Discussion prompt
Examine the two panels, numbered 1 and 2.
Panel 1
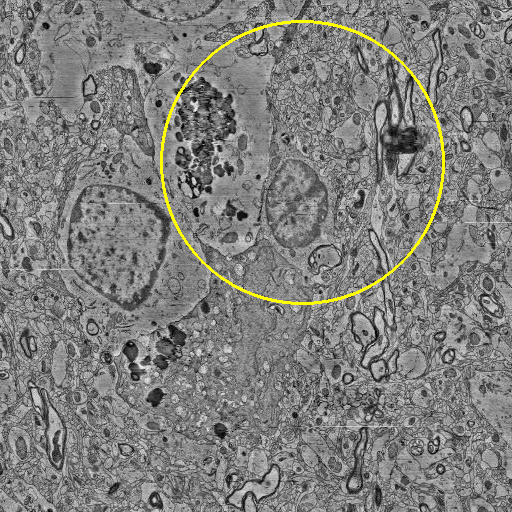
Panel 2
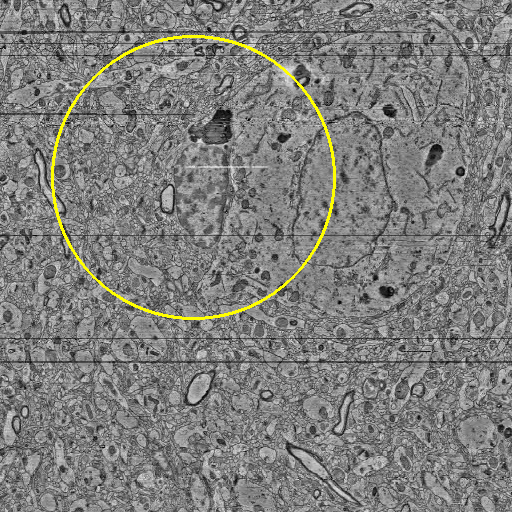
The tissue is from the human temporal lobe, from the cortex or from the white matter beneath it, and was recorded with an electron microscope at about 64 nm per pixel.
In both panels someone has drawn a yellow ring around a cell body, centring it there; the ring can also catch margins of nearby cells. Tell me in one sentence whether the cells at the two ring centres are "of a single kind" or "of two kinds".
Taken together, the two cells centred in the rings of Panels 1 and 2 are of a single kind.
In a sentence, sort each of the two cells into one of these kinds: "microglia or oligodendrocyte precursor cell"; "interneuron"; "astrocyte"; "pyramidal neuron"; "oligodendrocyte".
In both pictures the ring is centred on an oligodendrocyte.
